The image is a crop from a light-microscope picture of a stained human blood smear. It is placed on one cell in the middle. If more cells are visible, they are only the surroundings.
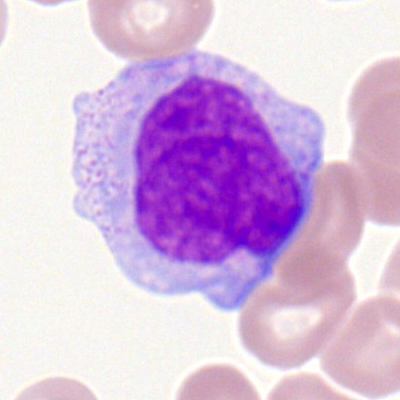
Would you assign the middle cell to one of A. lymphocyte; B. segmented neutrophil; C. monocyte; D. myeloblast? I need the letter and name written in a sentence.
The one to choose is option C, as the cell in the middle is a monocyte.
